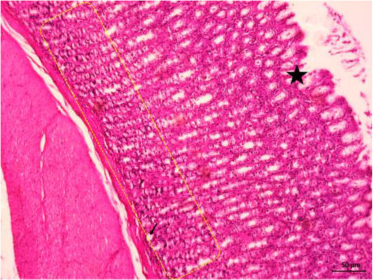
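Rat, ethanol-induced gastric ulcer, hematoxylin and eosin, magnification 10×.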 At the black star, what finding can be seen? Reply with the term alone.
Disruption to the surface epithelium.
